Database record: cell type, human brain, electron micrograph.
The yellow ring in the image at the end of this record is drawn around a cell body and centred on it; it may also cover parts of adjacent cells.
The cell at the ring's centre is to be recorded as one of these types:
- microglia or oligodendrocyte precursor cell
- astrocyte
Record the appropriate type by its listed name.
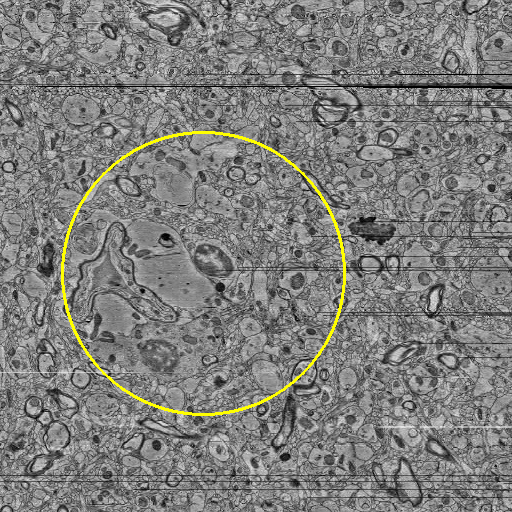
microglia or oligodendrocyte precursor cell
